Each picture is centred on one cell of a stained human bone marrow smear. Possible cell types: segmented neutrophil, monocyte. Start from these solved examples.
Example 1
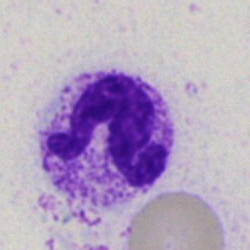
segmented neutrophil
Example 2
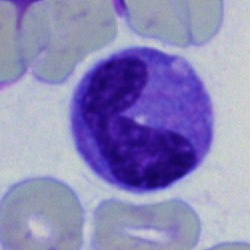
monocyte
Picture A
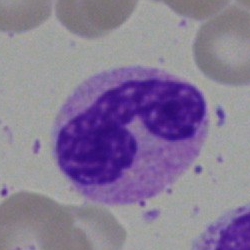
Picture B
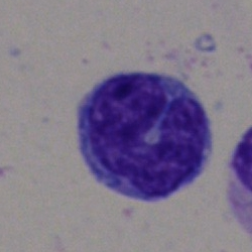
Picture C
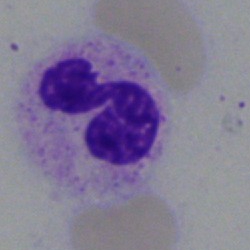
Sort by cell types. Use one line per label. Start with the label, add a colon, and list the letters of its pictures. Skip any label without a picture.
segmented neutrophil: A, C
monocyte: B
